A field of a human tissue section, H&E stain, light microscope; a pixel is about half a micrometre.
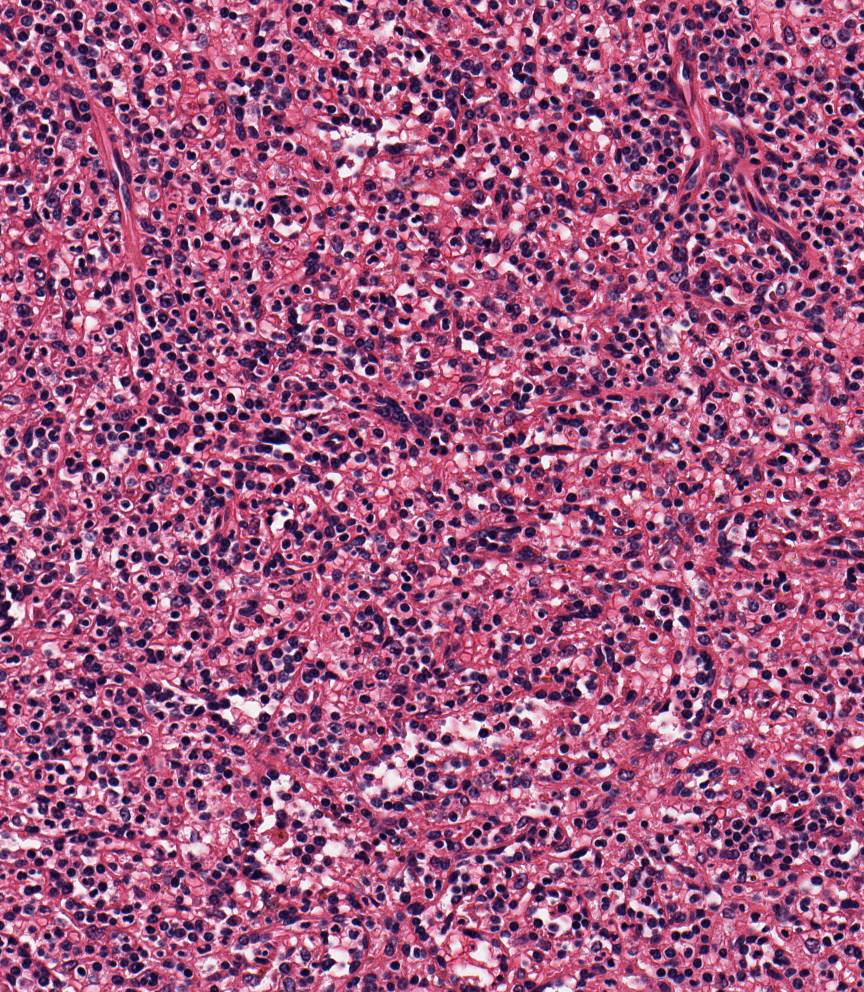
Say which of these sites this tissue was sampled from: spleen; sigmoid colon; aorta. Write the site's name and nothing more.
spleen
